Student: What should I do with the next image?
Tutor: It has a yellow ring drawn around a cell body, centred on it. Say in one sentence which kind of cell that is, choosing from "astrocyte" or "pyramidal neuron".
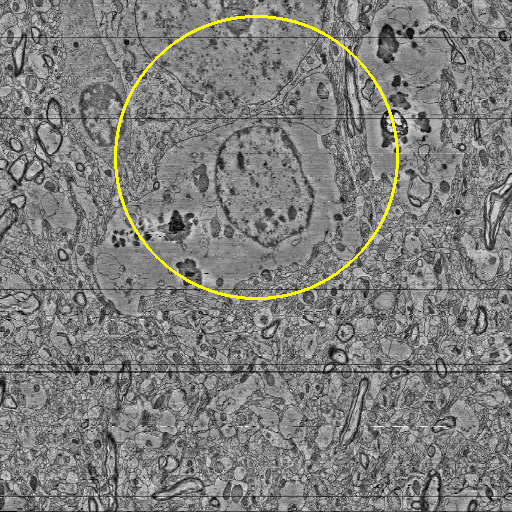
The ring's centre is occupied by an astrocyte.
